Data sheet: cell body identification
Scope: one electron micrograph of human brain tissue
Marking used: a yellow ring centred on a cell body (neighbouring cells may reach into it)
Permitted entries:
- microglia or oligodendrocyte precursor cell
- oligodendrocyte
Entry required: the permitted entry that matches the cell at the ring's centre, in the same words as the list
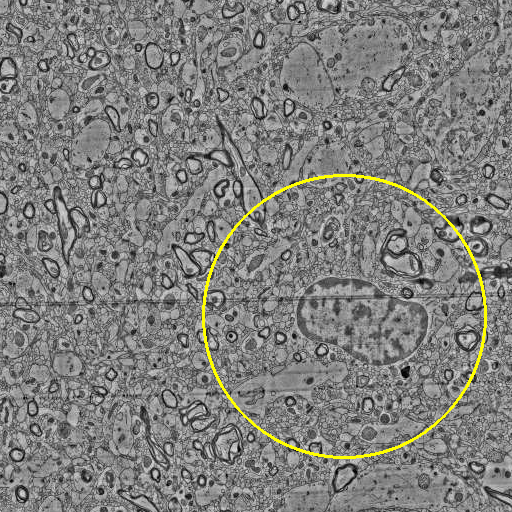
microglia or oligodendrocyte precursor cell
